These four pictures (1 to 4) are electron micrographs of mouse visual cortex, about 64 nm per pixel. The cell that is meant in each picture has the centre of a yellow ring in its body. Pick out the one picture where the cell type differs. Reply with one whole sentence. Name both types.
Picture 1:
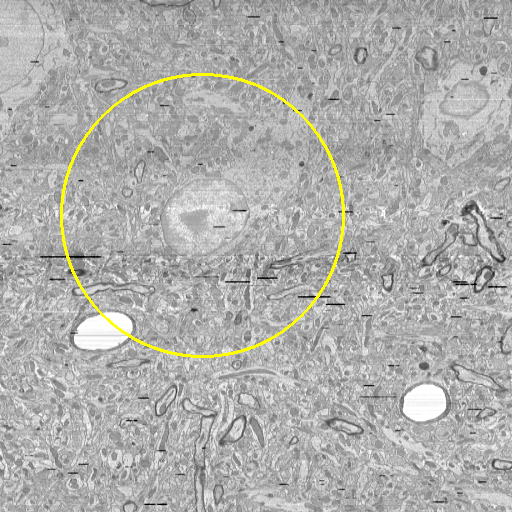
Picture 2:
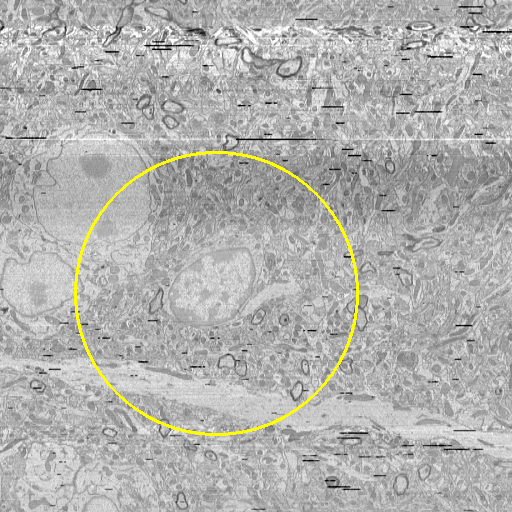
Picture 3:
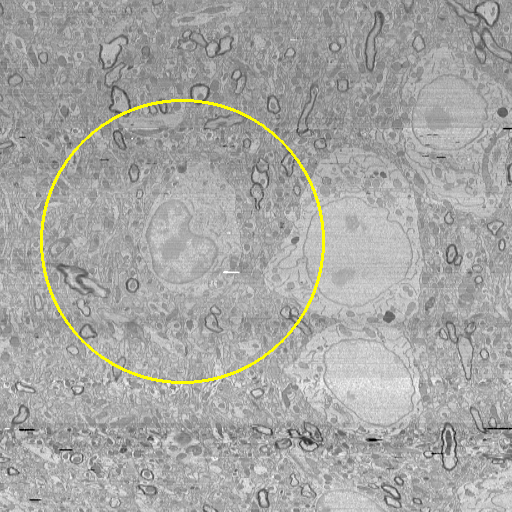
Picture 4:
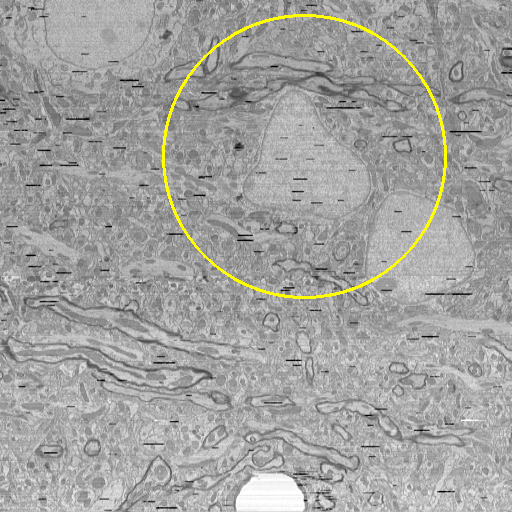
Unlike the rest, which show oligodendrocytes, picture 4 shows an astrocyte.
